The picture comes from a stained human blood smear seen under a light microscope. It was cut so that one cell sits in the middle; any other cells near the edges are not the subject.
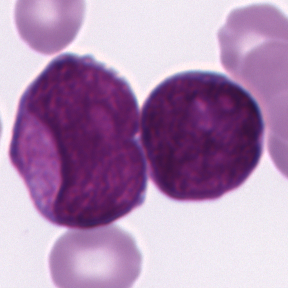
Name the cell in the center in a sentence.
The cell at the middle of the crop is recognized as a myeloblast.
